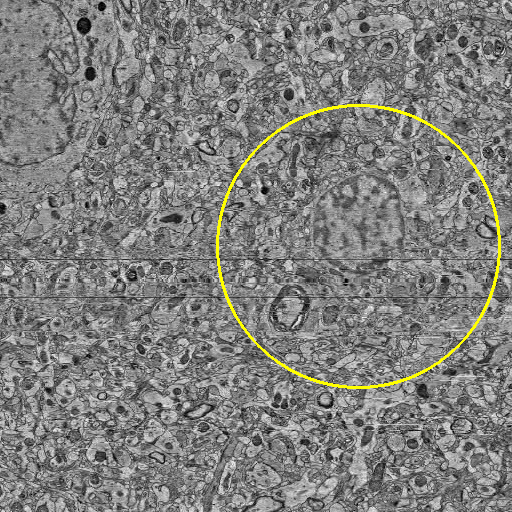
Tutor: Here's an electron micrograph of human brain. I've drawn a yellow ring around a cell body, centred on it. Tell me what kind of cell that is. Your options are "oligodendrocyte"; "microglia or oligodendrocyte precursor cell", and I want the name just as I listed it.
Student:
oligodendrocyte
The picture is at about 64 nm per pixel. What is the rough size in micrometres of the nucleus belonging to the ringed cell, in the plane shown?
In this plane the ringed cell's nucleus is roughly 6 micrometres across.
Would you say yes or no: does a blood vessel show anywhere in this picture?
No, there is no blood vessel.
